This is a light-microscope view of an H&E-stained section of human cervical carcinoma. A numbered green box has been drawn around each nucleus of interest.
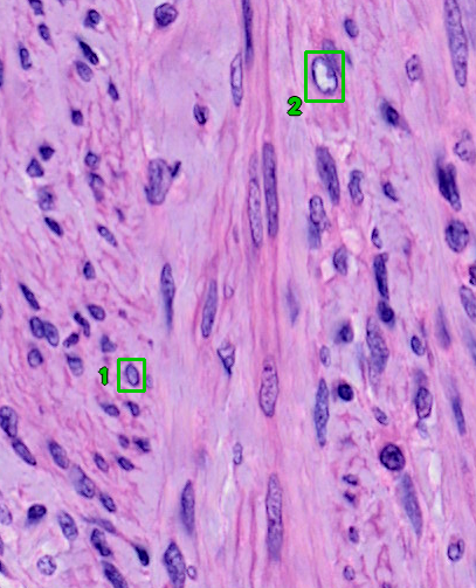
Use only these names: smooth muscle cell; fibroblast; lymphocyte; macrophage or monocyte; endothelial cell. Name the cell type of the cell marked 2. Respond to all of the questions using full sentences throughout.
The one numbered 2 among the marked cells is an endothelial cell.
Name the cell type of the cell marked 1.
The cell bearing label 1 corresponds to a smooth muscle cell.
